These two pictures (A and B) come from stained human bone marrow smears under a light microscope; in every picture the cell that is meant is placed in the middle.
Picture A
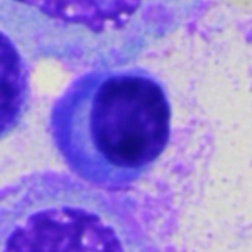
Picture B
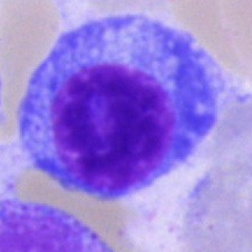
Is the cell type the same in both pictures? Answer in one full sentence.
Yes, both are plasma cells.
